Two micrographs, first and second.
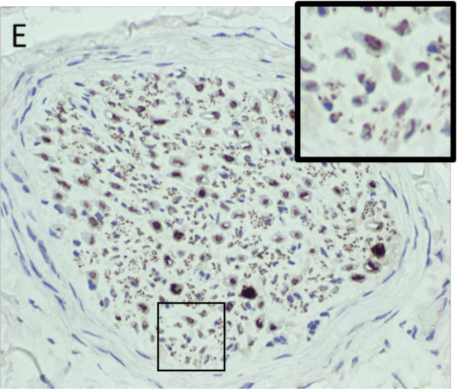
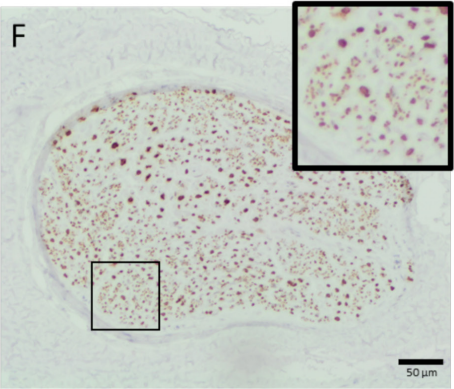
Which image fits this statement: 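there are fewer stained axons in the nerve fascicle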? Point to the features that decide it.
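Second image: the fascicle is densely packed with small brown-stained dots. The answer: the first image.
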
